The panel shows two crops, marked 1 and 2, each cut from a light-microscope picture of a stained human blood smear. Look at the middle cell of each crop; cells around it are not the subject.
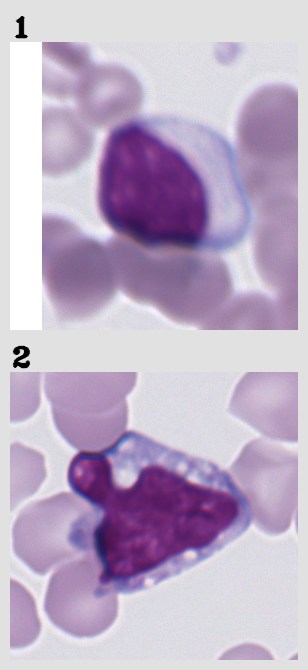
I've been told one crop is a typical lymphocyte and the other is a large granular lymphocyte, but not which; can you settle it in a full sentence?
Crop 2 shows a typical lymphocyte, and crop 1 shows a large granular lymphocyte.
